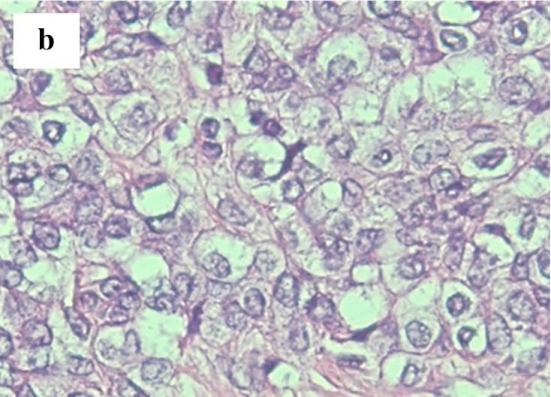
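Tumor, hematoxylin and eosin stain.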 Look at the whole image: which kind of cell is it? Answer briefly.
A: Clear cells with atypical nuclei.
